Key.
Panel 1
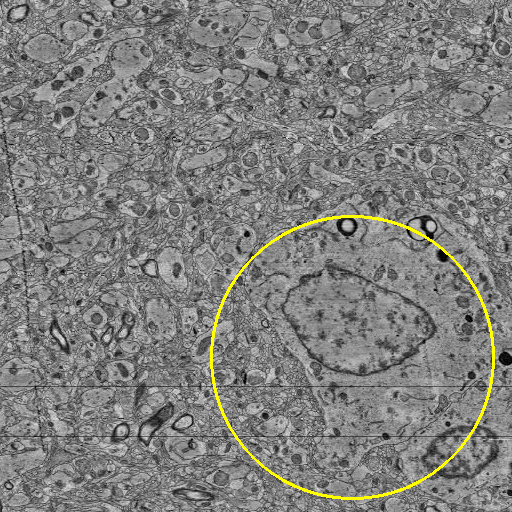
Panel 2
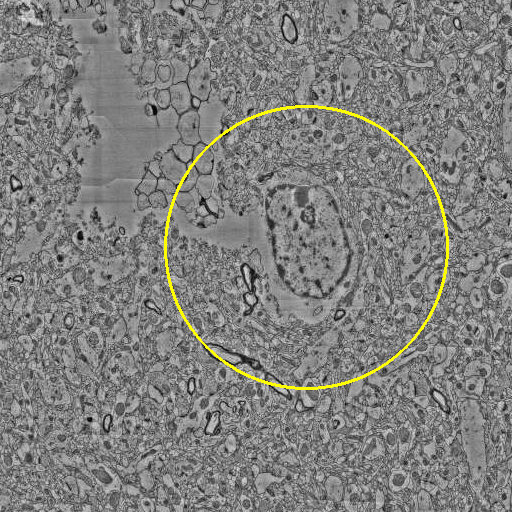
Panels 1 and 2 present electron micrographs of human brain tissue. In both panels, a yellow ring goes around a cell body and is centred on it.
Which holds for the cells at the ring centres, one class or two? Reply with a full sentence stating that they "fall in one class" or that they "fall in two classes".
Taken together, the ring-centre cells of the two panels fall in two classes.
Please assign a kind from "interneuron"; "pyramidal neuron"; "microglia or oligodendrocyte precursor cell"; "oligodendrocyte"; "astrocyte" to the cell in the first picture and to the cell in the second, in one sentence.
In the first picture we have a pyramidal neuron, and in the second, a microglial cell or oligodendrocyte precursor cell.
